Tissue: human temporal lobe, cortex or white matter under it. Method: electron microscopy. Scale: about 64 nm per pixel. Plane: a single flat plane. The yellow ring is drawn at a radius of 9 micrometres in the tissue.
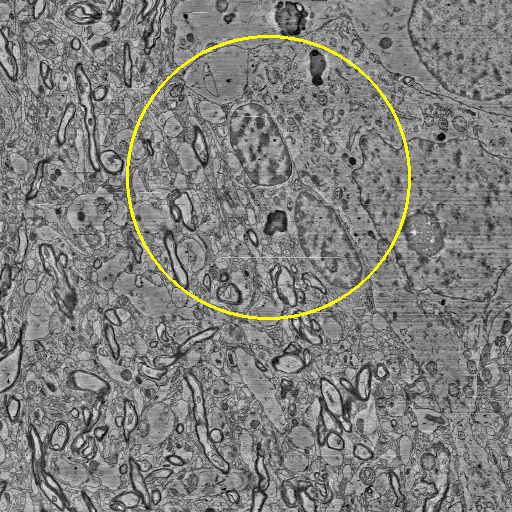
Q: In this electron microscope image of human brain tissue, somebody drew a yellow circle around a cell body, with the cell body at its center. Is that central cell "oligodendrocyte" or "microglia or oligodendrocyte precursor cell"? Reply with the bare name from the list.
microglia or oligodendrocyte precursor cell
